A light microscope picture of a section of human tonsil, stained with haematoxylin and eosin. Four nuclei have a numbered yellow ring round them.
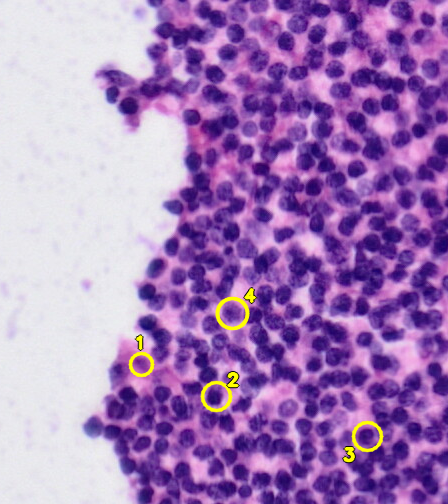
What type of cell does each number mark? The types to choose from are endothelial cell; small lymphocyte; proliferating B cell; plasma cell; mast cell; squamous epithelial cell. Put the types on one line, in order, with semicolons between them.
endothelial cell; small lymphocyte; small lymphocyte; small lymphocyte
